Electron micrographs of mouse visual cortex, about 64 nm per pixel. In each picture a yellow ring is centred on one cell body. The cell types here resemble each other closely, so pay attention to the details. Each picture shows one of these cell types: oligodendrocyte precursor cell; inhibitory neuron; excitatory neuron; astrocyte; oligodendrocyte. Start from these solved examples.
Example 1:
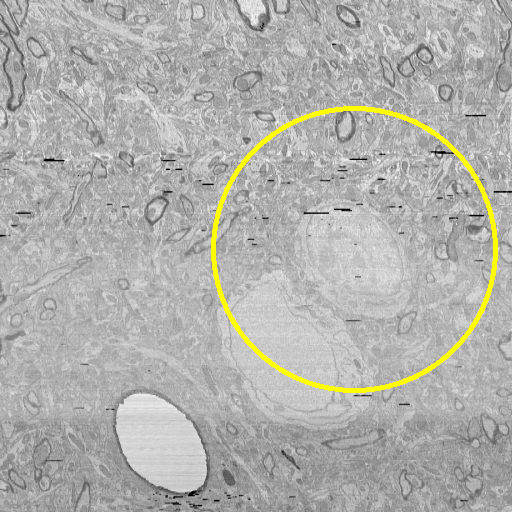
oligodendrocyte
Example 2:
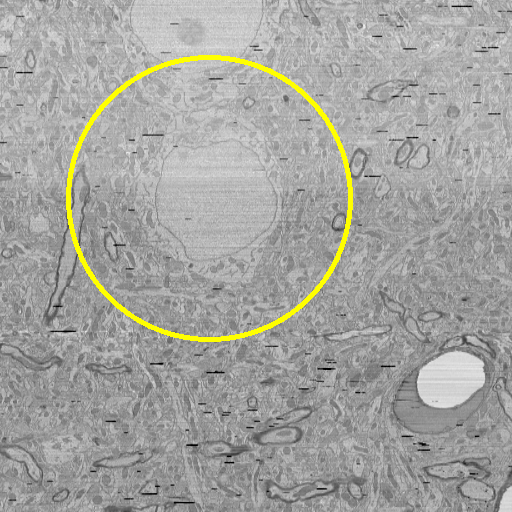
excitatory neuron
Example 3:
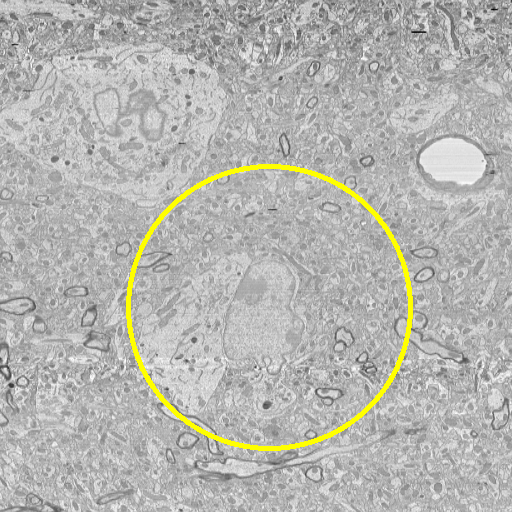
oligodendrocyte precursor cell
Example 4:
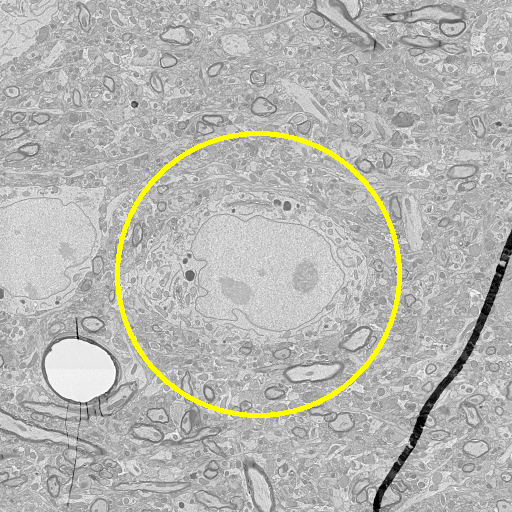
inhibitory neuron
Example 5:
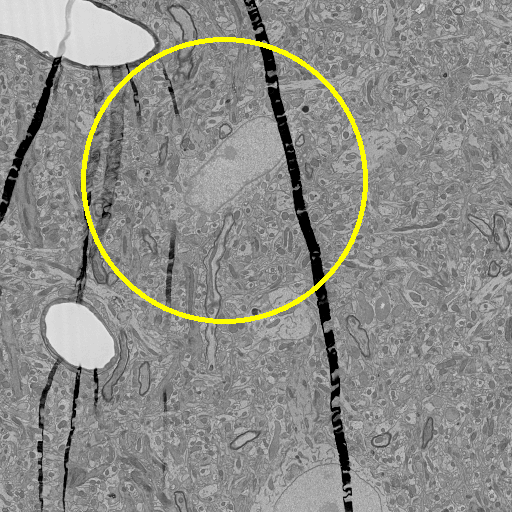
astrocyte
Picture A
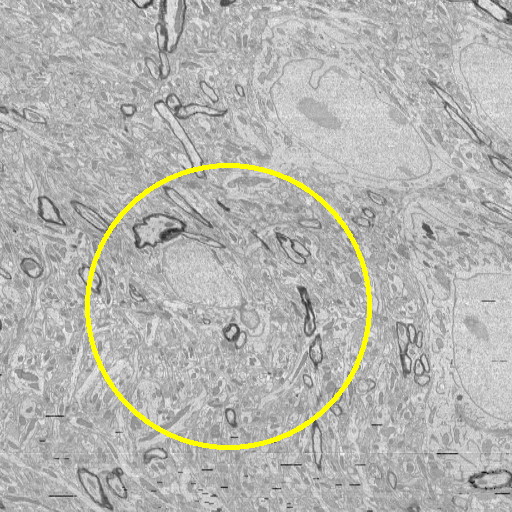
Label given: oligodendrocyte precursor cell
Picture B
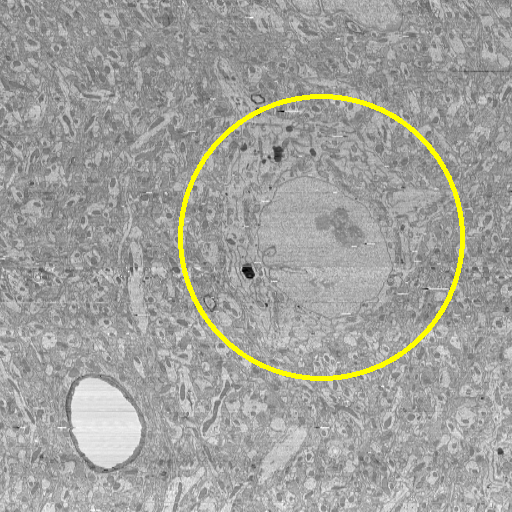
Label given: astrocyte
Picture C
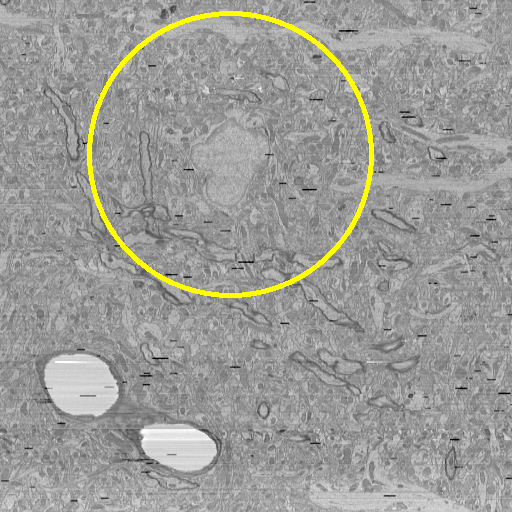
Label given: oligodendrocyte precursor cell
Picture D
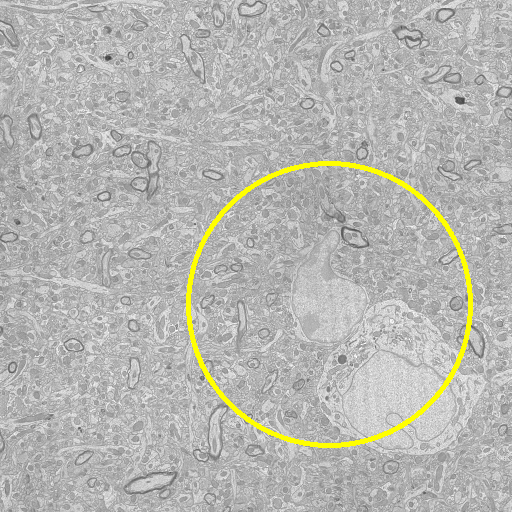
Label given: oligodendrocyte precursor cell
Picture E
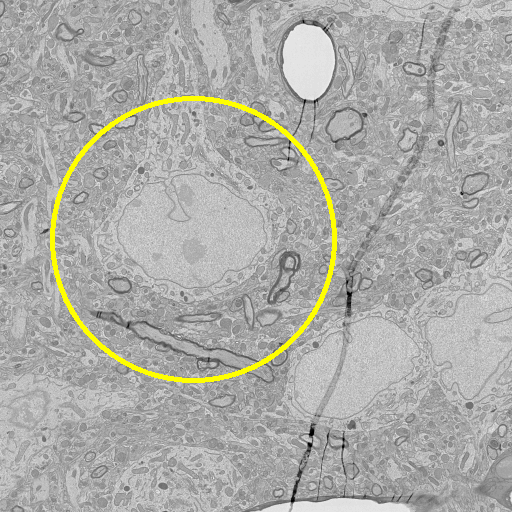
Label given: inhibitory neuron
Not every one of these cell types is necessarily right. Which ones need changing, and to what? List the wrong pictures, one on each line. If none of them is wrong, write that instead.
Wrong: B (astrocyte); correct: inhibitory neuron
